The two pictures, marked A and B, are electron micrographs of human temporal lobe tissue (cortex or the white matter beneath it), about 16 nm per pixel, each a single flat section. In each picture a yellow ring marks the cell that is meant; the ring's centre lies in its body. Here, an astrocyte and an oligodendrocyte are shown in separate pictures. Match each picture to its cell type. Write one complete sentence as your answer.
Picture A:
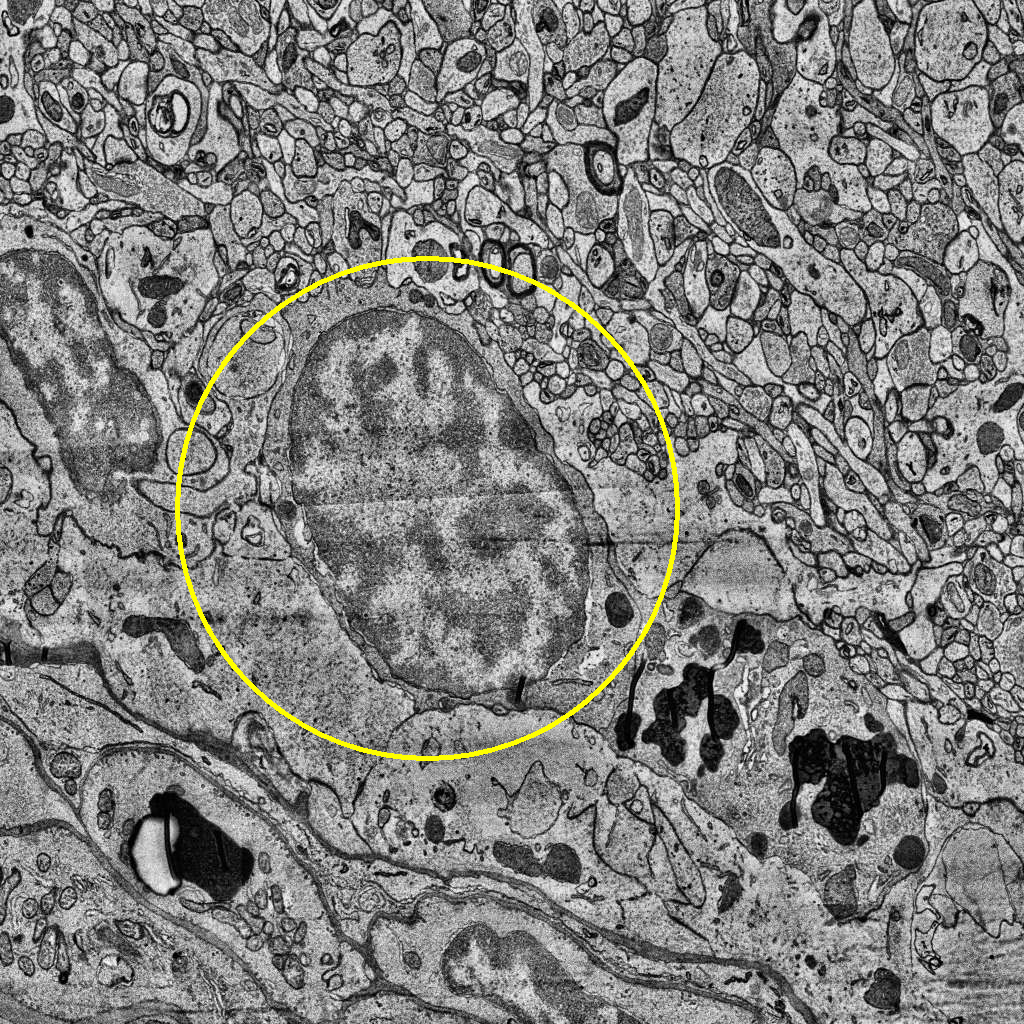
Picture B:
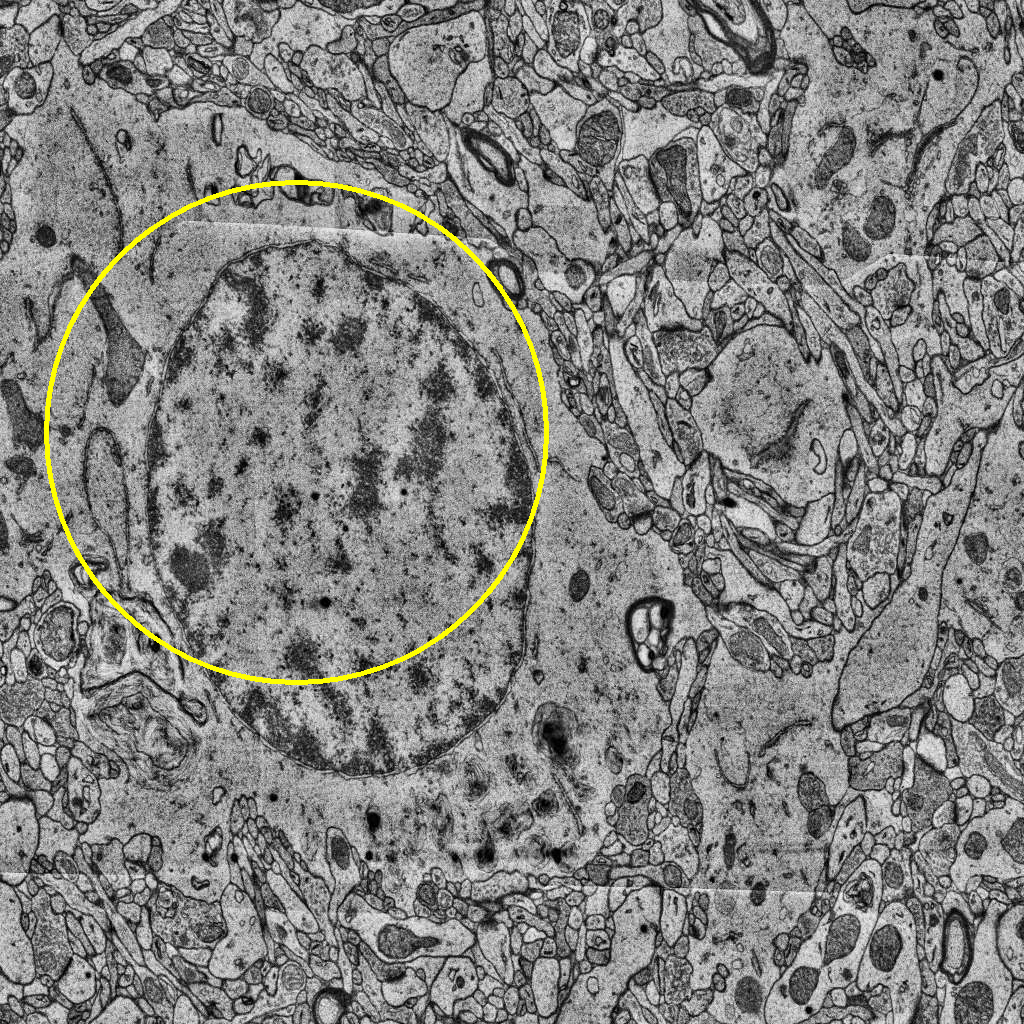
The cell in picture A is an oligodendrocyte, and the one in picture B is an astrocyte.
